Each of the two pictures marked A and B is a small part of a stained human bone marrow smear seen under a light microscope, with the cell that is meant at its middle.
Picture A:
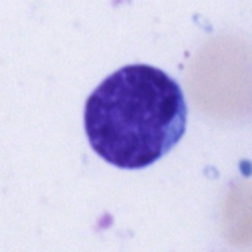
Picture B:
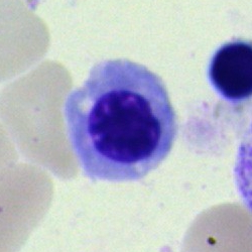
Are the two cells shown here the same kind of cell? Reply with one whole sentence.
No. Picture A shows a lymphocyte, but picture B shows an erythroblast.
